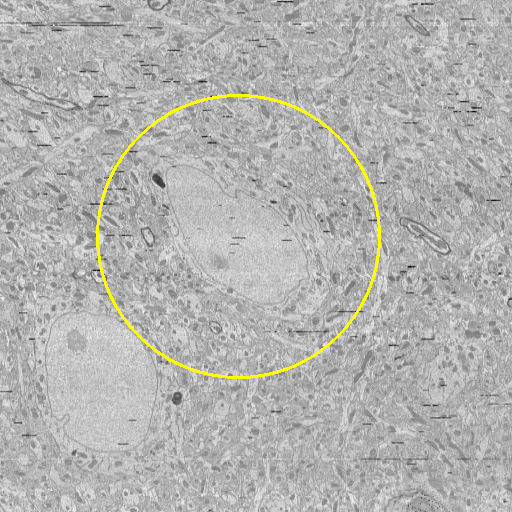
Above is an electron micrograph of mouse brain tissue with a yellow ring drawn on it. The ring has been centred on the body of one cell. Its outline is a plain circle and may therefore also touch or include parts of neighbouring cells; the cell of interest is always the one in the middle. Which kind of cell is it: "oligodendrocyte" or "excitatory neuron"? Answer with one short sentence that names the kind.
The ring's central cell body is that of an excitatory neuron.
